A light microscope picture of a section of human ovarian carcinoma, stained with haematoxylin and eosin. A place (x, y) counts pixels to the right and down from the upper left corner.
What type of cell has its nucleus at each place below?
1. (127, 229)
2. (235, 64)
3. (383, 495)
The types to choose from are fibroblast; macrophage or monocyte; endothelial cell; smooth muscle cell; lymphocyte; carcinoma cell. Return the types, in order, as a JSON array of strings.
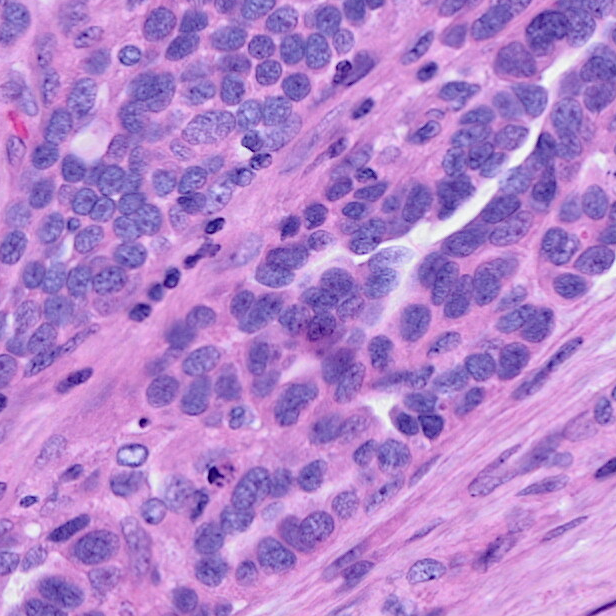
["carcinoma cell", "carcinoma cell", "fibroblast"]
